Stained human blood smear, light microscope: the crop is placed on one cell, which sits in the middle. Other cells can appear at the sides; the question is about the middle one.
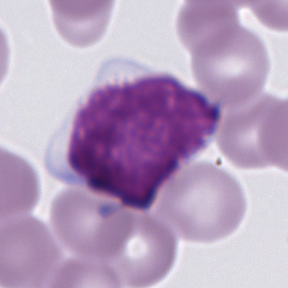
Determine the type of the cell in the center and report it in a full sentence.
The cell in the exact centre of the crop is a large granular lymphocyte.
